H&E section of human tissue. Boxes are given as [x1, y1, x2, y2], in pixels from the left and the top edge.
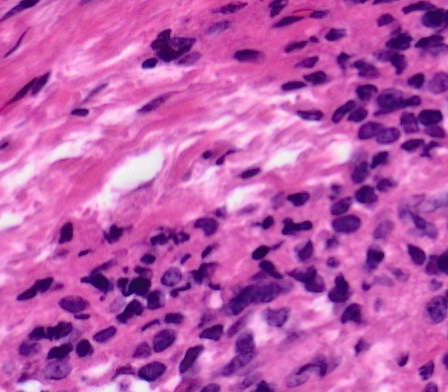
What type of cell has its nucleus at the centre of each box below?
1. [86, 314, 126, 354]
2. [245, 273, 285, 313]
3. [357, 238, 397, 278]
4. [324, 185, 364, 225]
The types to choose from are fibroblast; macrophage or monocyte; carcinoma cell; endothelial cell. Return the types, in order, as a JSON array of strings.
["macrophage or monocyte", "carcinoma cell", "macrophage or monocyte", "carcinoma cell"]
